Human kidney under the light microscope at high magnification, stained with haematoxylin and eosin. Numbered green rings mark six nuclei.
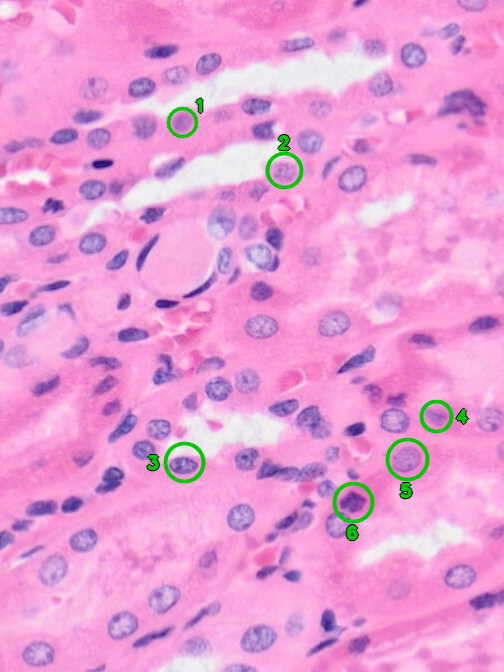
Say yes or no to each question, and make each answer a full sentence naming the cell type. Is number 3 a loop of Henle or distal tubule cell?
Yes, kindly take note: the cell numbered 3 is a loop of Henle or distal tubule cell.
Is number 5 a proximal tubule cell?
Yes, the cell marked with number 5 is a proximal tubule cell.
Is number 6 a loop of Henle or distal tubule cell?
No, it is a proximal tubule cell, not a loop of Henle or distal tubule cell, that number 6 marks.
